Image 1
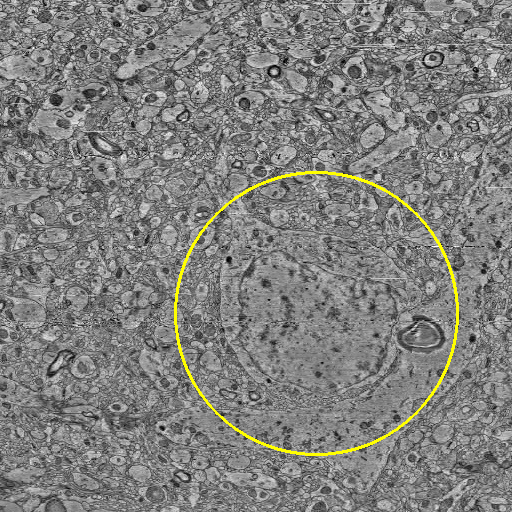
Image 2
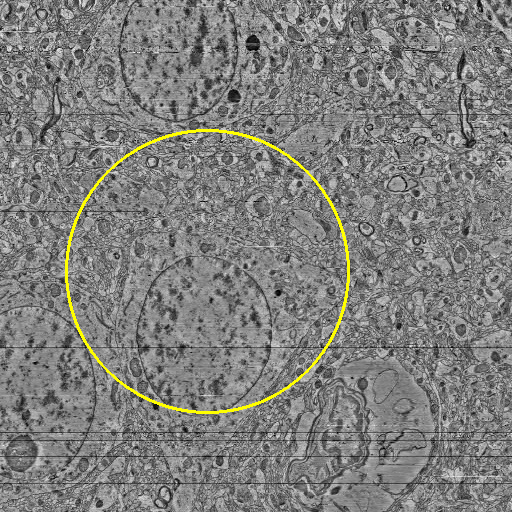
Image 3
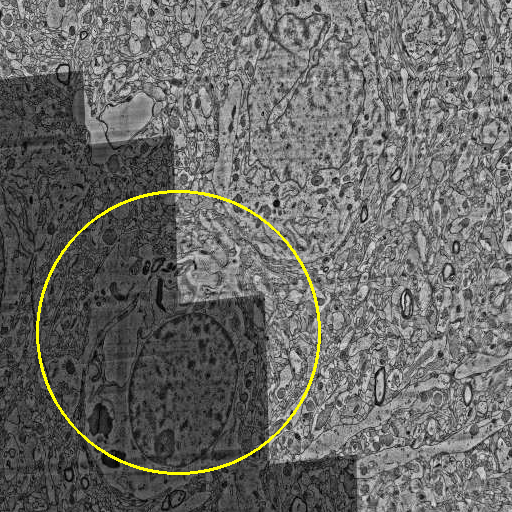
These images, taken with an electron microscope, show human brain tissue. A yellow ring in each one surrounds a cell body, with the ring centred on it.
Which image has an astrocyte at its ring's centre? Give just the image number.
3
